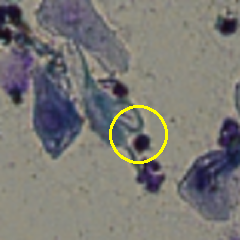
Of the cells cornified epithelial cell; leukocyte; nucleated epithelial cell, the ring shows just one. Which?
The ring shows a leukocyte.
